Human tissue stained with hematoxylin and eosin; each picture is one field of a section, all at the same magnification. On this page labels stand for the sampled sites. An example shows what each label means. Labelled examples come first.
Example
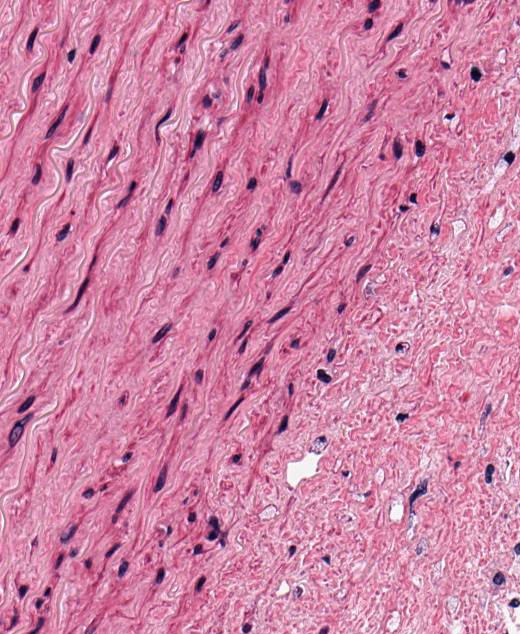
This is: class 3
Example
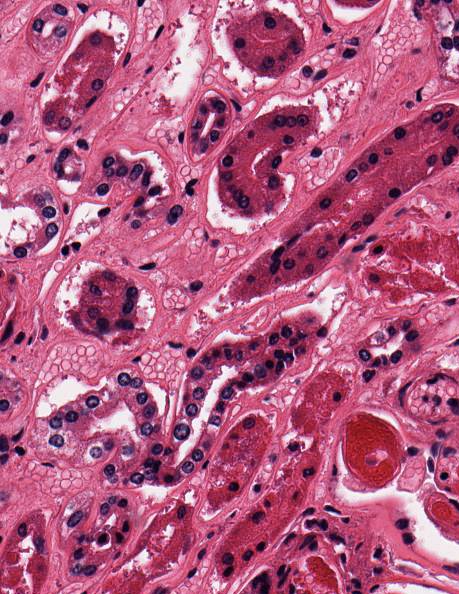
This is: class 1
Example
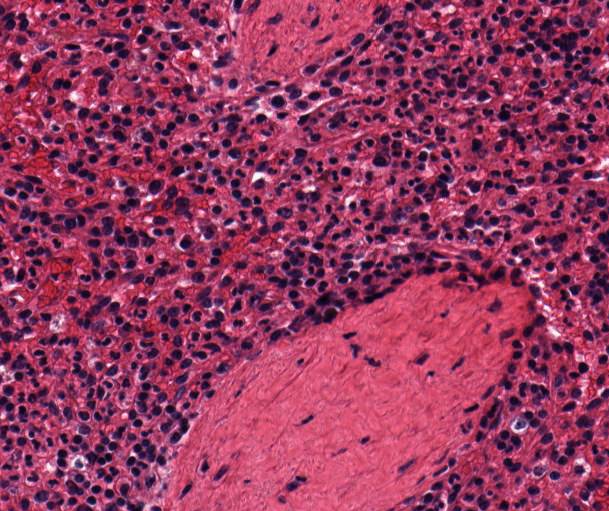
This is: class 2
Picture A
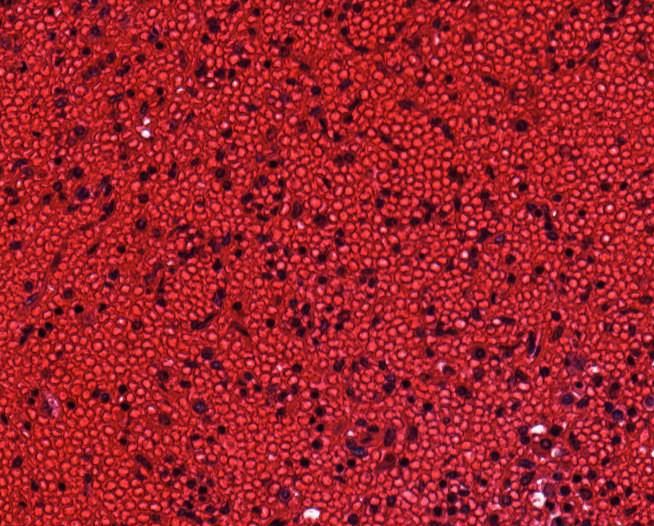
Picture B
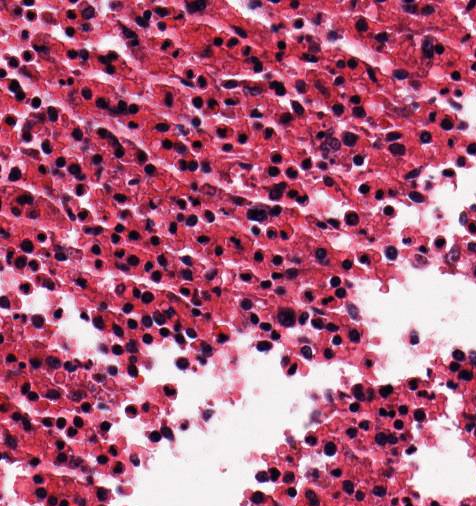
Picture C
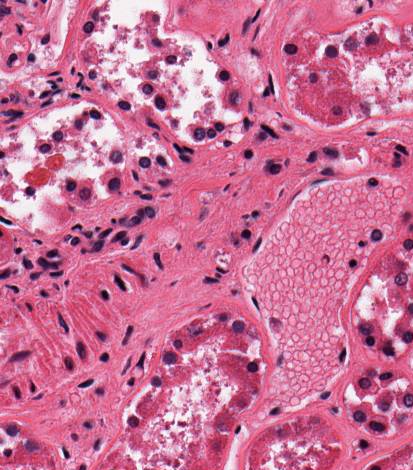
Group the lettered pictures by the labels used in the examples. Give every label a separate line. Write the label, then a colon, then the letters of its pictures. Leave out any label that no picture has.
class 1: C
class 2: A, B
